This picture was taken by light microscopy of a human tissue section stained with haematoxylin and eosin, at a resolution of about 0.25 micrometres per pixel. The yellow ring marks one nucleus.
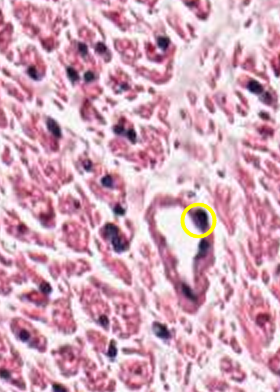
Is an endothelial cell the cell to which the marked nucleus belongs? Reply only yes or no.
yes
